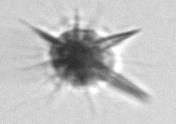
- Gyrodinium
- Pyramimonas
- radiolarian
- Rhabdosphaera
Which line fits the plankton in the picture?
radiolarian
